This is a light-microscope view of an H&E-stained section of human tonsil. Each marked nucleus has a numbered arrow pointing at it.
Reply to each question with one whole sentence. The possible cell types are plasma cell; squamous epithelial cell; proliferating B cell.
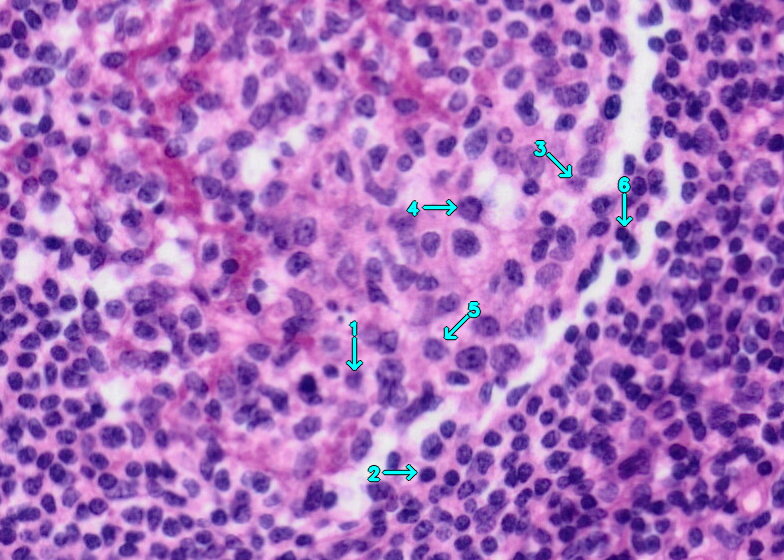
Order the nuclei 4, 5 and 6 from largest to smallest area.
From largest to smallest, the order is 4, 5, 6.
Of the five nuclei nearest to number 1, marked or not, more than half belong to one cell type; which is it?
Proliferating B cells make up most of the five nuclei closest to number 1.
